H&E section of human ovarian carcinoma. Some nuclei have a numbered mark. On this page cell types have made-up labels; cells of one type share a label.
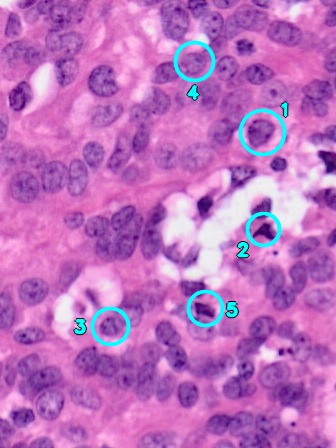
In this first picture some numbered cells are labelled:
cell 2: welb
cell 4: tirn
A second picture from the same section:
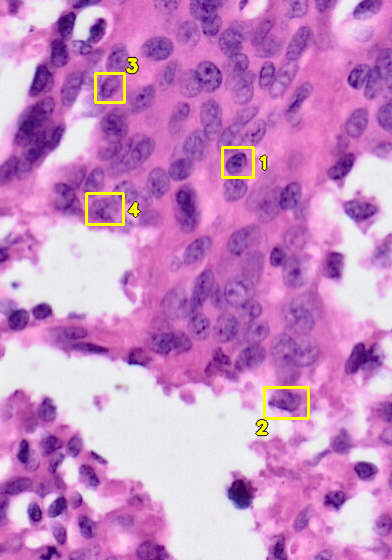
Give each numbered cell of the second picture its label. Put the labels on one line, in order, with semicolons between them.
welb; tirn; tirn; tirn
